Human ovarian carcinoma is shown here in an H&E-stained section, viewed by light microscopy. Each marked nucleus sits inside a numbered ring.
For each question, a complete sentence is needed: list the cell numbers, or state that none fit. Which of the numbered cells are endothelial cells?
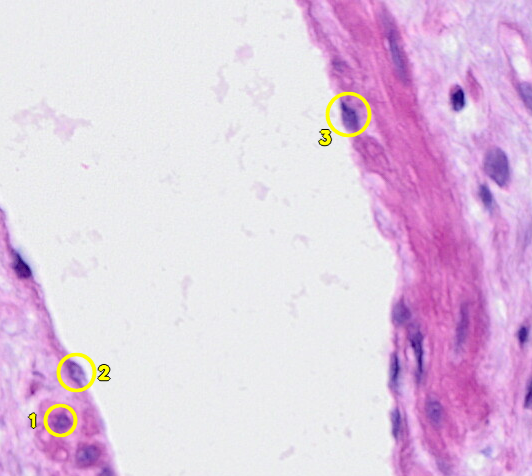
The cells the numbers 2 and 3 point to are endothelial cells.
